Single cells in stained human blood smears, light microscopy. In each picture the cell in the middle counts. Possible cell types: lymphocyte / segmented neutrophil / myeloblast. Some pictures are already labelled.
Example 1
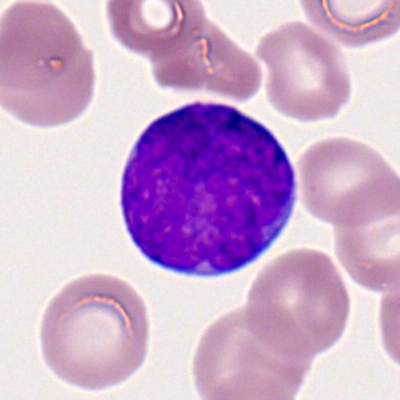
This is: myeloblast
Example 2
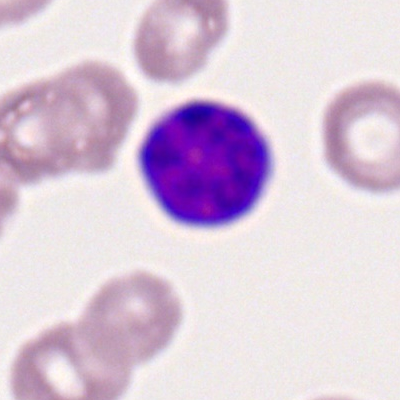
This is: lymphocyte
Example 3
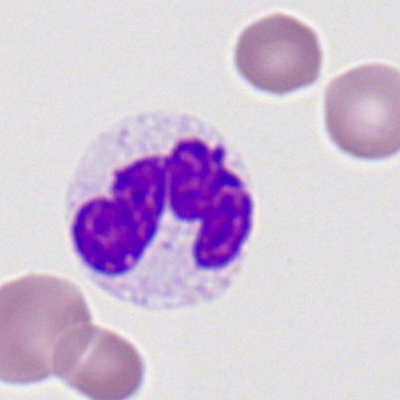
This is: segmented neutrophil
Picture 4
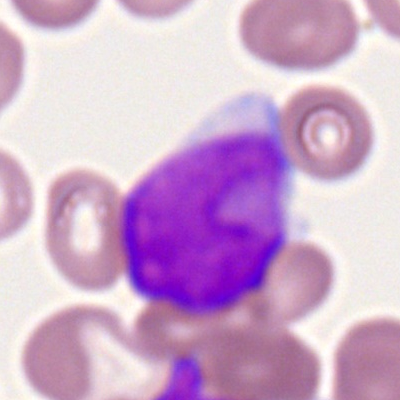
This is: myeloblast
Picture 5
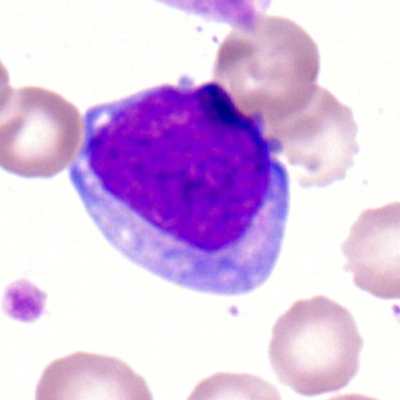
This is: myeloblast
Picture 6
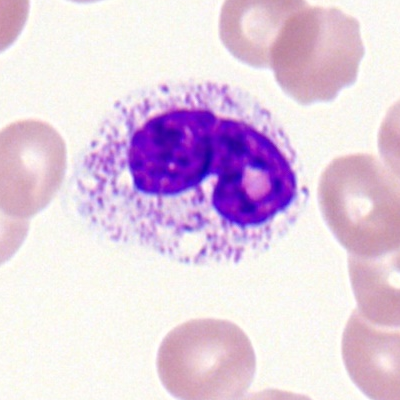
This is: segmented neutrophil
